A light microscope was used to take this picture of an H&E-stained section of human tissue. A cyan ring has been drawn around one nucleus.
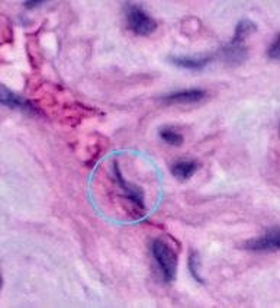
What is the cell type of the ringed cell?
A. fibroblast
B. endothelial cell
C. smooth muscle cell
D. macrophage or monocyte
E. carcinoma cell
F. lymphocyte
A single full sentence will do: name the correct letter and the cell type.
Given that the ringed cell is an endothelial cell, option B is the correct one.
